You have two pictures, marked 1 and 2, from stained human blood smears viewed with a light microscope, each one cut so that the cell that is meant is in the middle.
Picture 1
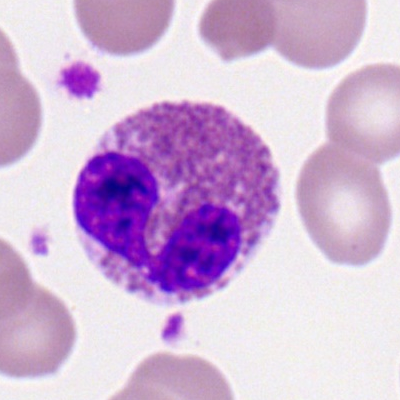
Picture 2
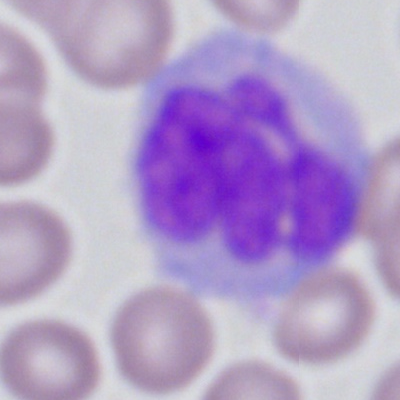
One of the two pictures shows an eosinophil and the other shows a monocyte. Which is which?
1: eosinophil
2: monocyte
